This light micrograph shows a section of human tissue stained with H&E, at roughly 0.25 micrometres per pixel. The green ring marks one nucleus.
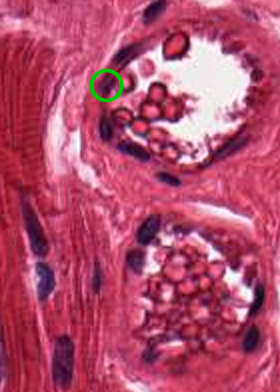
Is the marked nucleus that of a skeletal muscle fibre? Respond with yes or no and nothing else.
no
